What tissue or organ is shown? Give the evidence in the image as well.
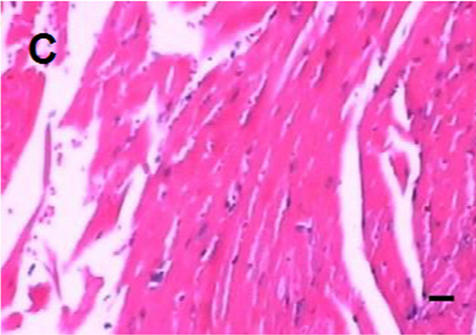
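Long, pink-staining muscle fibers run in parallel bundles. Elongated dark nuclei lie within and between the fibers. Narrow clefts separate bundles of fibers.
Conclusion: myocardium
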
